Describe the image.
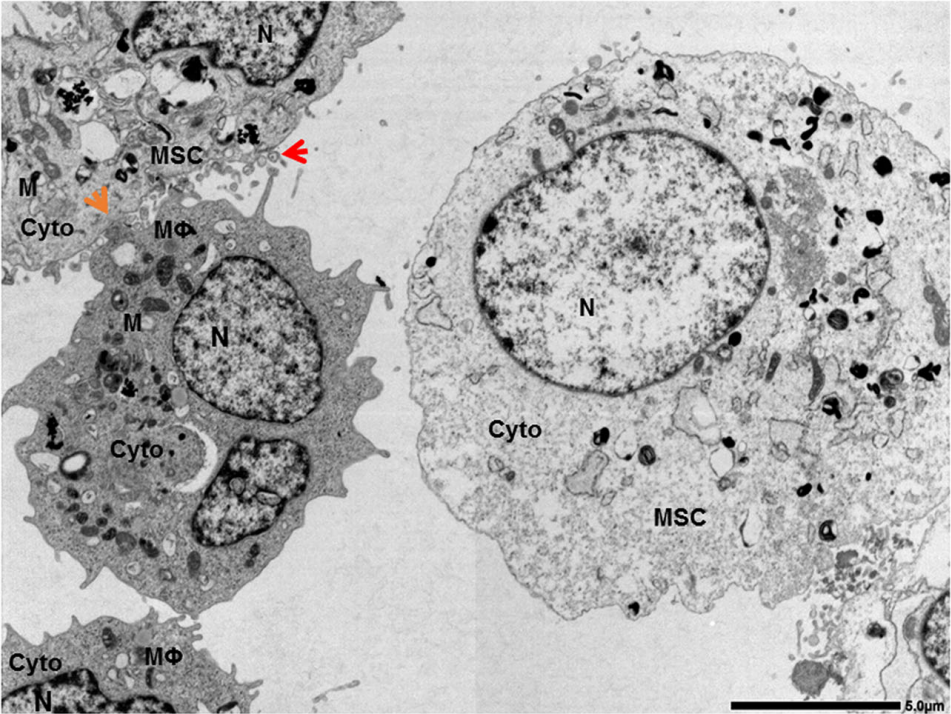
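Several cells lie side by side: a smaller cell with dark, dense cytoplasm full of mitochondria and vesicles and spiky surface projections, and a much larger cell with a round nucleus and pale, clear cytoplasm holding scattered dark particles. Another pale cell at the upper left presses its surface tightly against the dark cell, and small round vesicles lie in the space near this contact.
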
